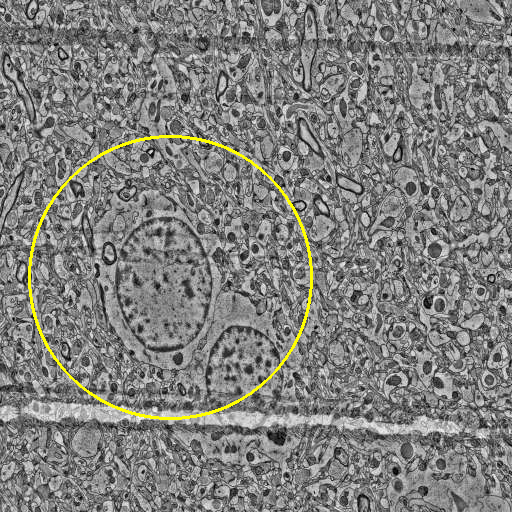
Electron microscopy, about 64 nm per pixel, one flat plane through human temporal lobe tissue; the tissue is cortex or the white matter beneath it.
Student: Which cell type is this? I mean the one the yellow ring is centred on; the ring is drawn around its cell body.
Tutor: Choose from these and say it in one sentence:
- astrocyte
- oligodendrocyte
The cell the ring is centred on is an astrocyte.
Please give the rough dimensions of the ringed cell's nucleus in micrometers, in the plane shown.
The nucleus of the ringed cell is approximately 8 by 6 micrometres in this plane.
